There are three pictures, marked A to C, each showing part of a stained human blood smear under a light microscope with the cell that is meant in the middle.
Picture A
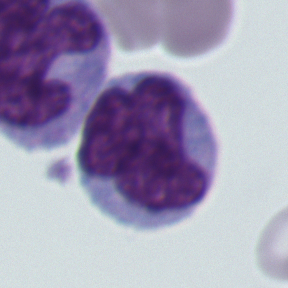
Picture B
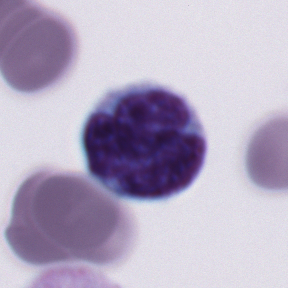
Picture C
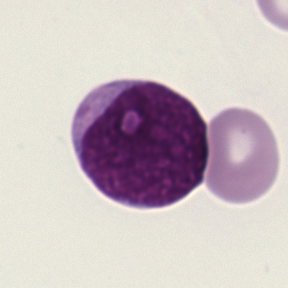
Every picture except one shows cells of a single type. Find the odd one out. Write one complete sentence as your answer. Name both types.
The others show monocytes, but picture C shows a myeloblast.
